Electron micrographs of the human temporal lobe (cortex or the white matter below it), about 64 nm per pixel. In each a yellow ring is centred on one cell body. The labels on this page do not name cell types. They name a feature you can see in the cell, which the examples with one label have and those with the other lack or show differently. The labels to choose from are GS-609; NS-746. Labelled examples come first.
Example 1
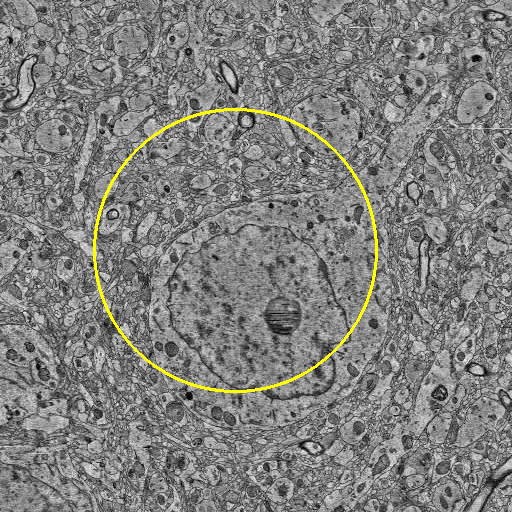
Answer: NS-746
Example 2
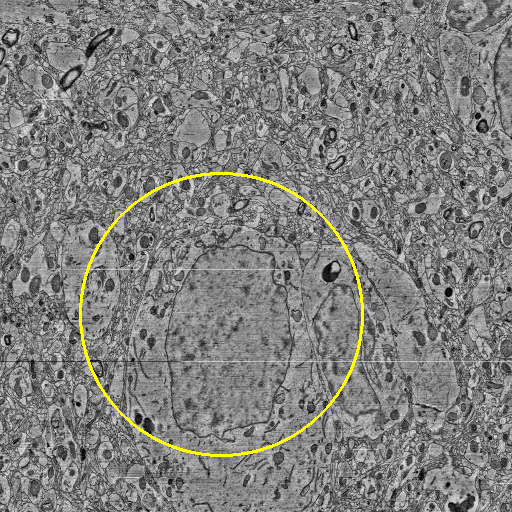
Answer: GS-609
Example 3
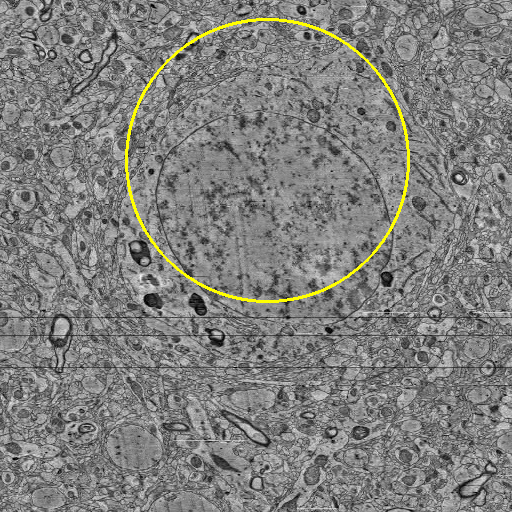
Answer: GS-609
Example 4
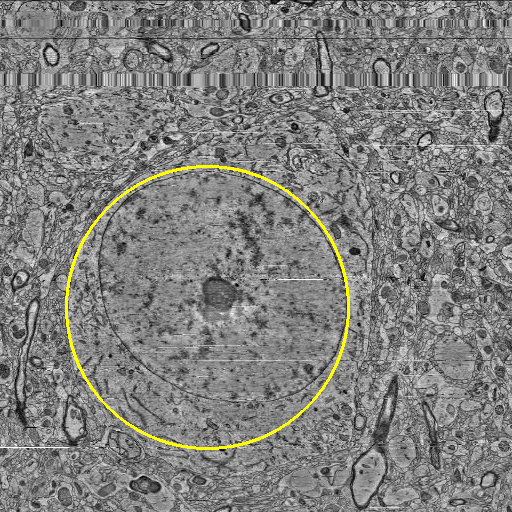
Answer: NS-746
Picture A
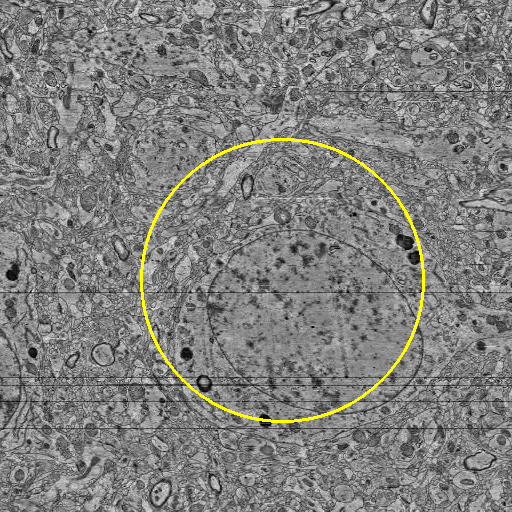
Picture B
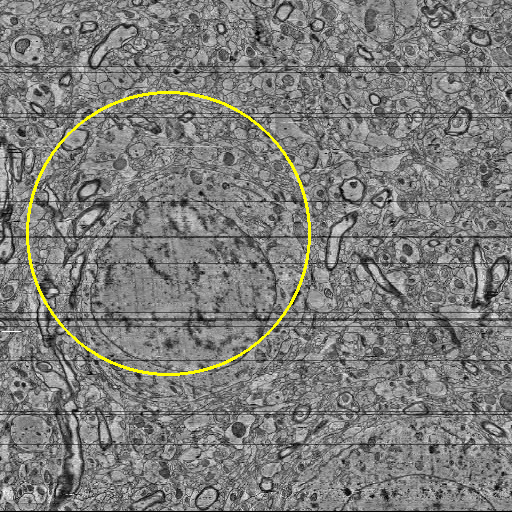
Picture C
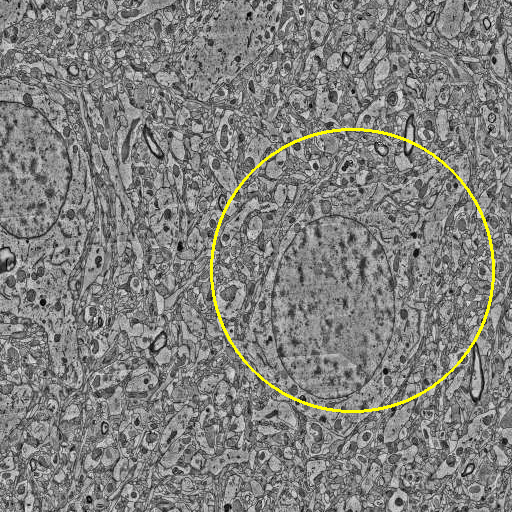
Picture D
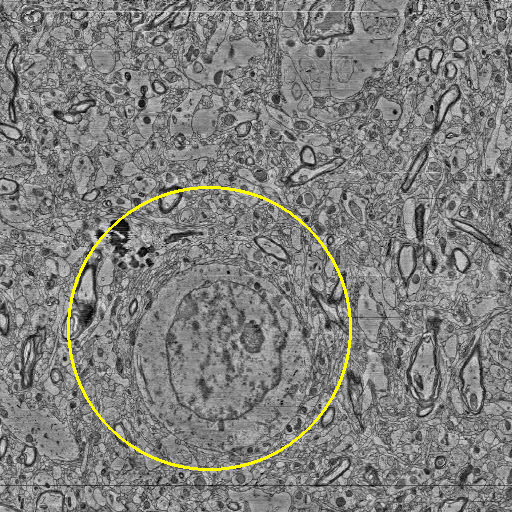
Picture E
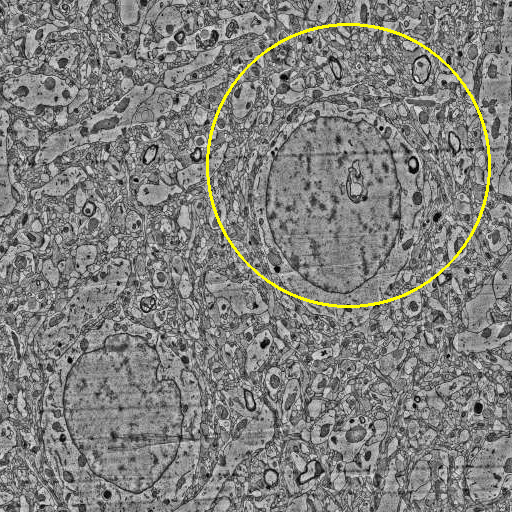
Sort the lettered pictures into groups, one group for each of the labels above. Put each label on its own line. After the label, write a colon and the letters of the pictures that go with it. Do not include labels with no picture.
GS-609: A, B, C, E
NS-746: D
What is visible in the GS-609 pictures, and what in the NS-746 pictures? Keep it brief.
In GS-609: no nucleolus seen. In NS-746: nucleolus seen.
